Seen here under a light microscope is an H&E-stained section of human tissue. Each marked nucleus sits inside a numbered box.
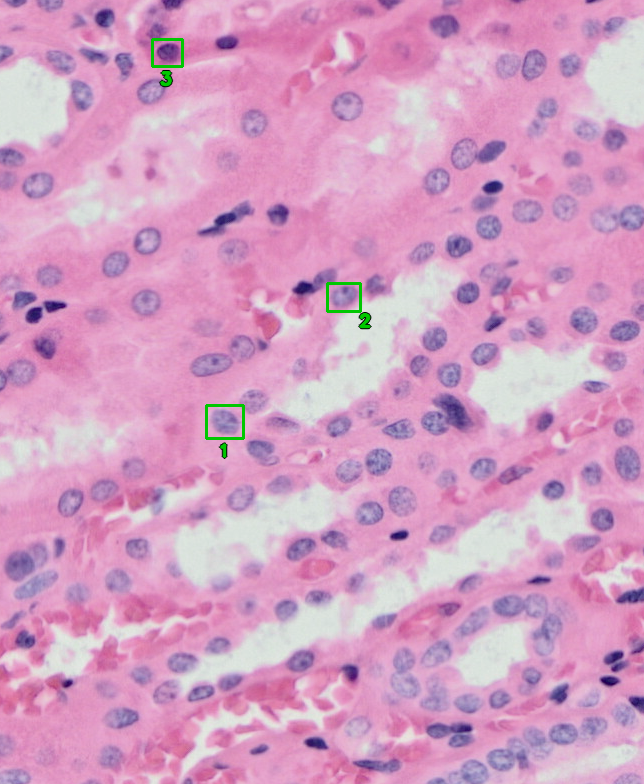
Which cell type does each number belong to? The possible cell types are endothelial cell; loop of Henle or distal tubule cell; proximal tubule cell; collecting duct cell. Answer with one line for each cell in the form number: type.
1: loop of Henle or distal tubule cell
2: loop of Henle or distal tubule cell
3: proximal tubule cell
